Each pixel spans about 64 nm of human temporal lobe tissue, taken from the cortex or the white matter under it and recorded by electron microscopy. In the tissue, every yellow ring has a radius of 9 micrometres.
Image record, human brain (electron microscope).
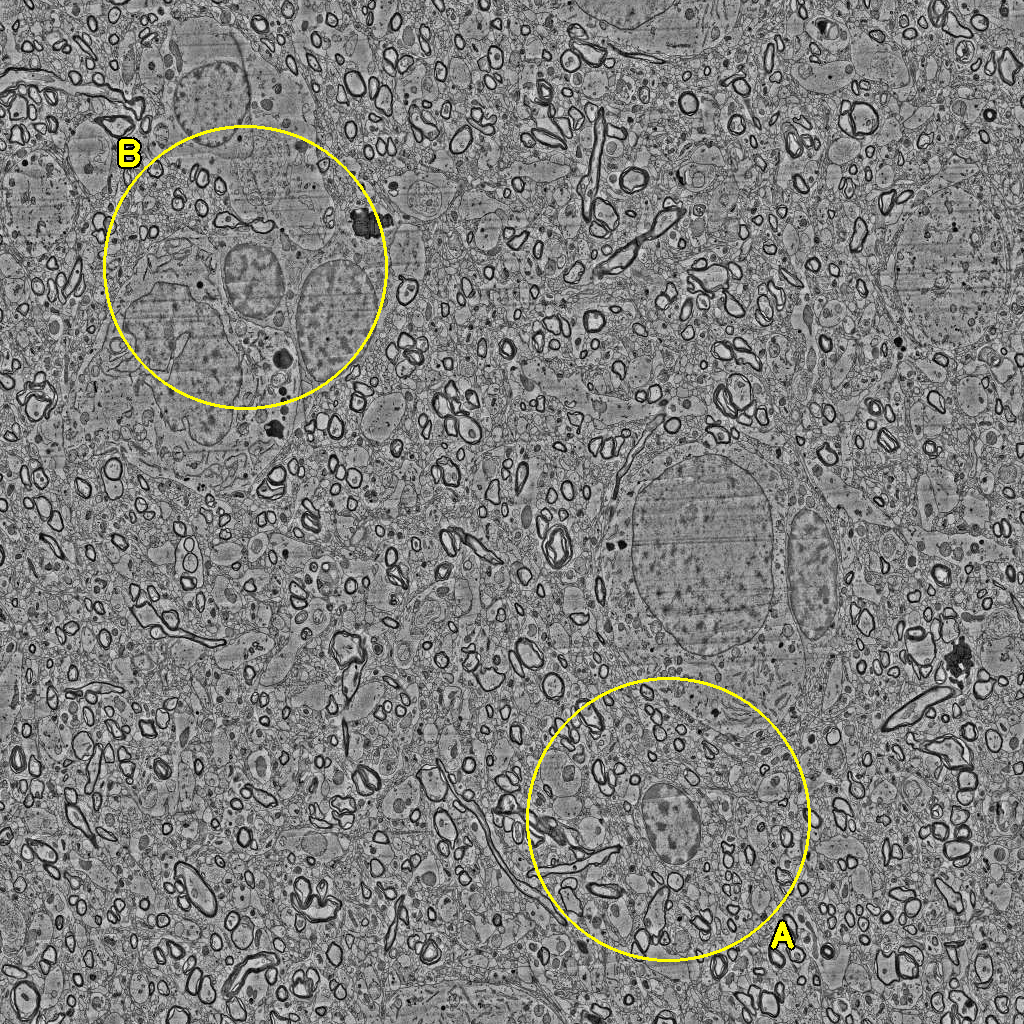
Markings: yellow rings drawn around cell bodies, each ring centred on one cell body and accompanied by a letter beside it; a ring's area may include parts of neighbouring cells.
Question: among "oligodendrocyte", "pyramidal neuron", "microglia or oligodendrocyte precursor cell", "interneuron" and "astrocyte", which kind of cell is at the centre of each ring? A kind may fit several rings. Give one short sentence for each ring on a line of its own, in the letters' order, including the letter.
Ring A is centred on the cell body of a microglial cell or oligodendrocyte precursor cell.
Ring B is centred on the cell body of an oligodendrocyte.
